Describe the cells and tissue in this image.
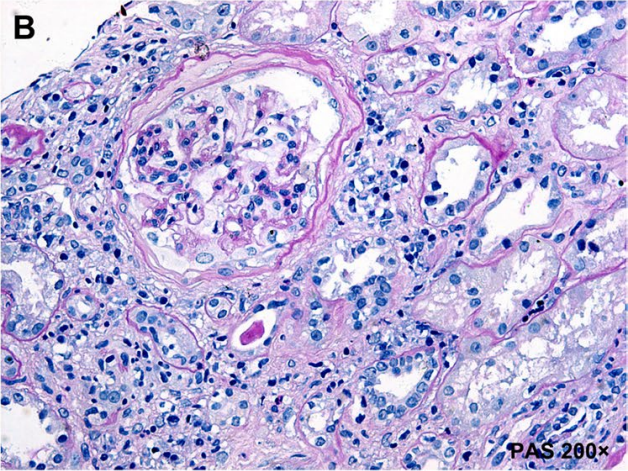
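Kidney cortex shows a glomerulus surrounded by a thick magenta-outlined capsule, with tubules around it whose basement membranes stain magenta. The interstitium between the tubules is widened and holds many small cells with dark blue nuclei, an inflammatory infiltrate, while the tubular cells have pale, vacuolated cytoplasm.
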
